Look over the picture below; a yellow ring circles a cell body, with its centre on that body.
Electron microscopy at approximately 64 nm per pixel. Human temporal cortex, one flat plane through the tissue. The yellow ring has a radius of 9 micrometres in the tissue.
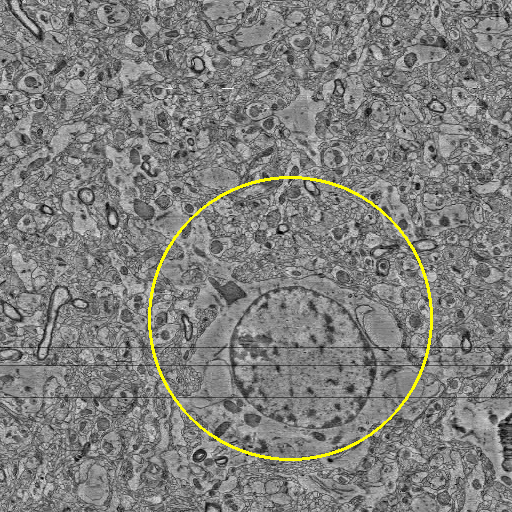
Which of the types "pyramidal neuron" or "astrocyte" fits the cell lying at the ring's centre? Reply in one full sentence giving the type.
The picture shows an astrocyte at the centre of the yellow ring.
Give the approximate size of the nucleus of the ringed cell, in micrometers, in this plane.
In this plane the nucleus measures roughly 10 by 9 micrometres.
